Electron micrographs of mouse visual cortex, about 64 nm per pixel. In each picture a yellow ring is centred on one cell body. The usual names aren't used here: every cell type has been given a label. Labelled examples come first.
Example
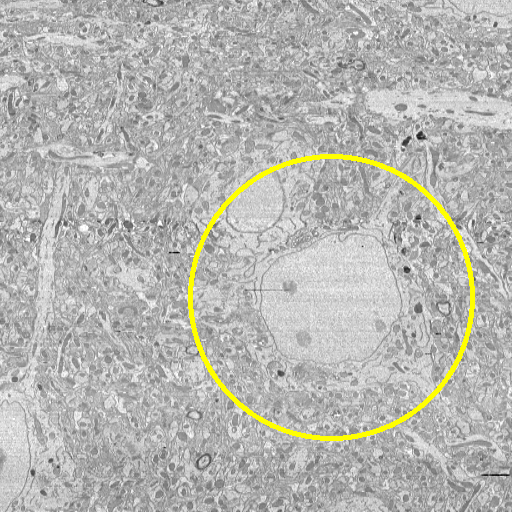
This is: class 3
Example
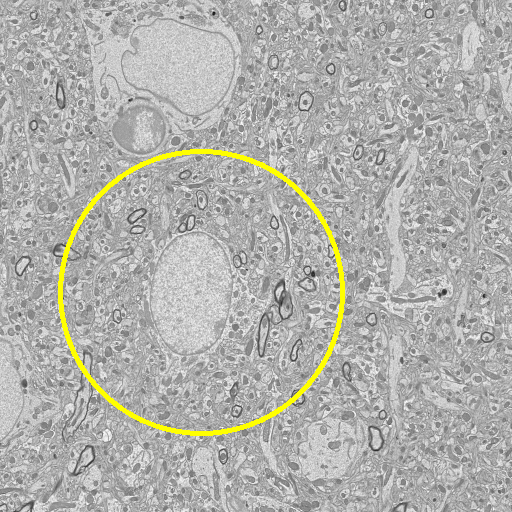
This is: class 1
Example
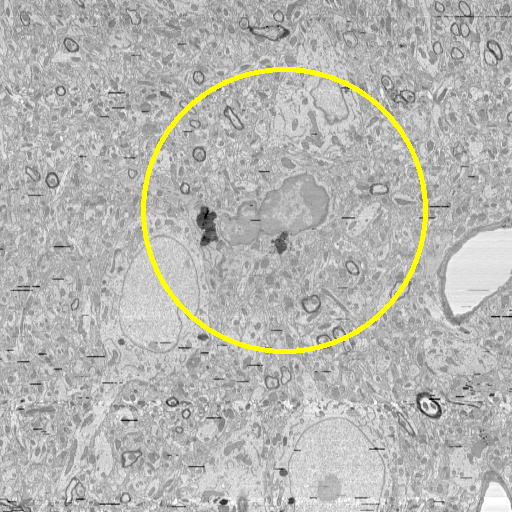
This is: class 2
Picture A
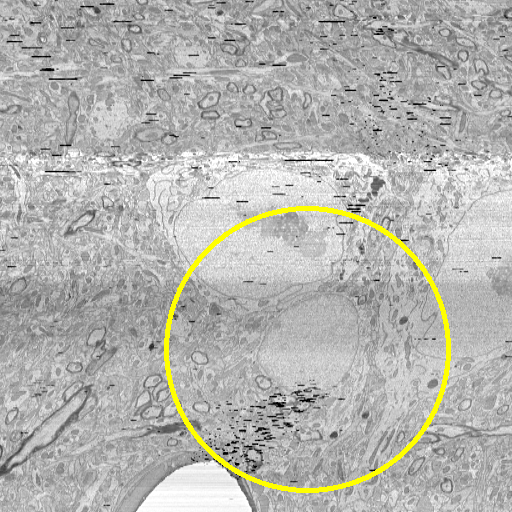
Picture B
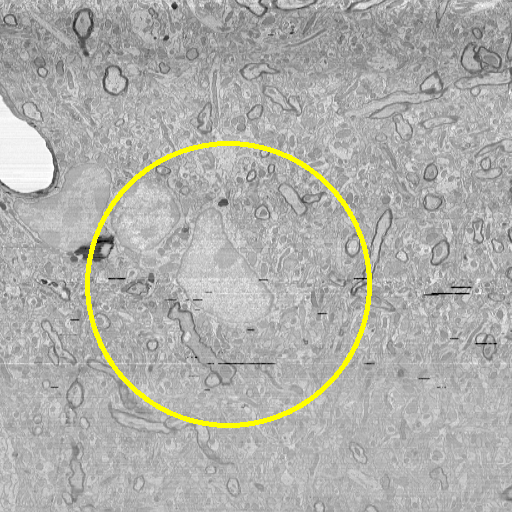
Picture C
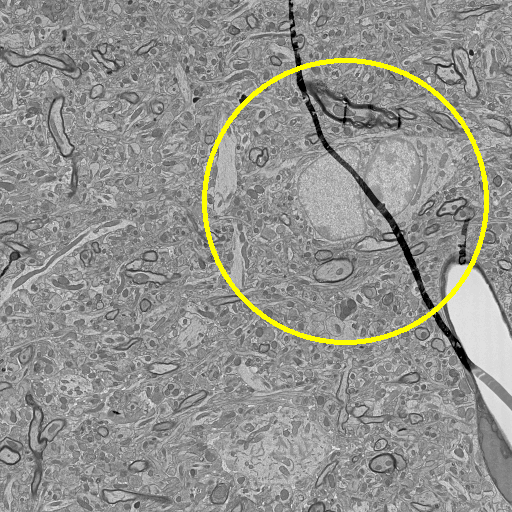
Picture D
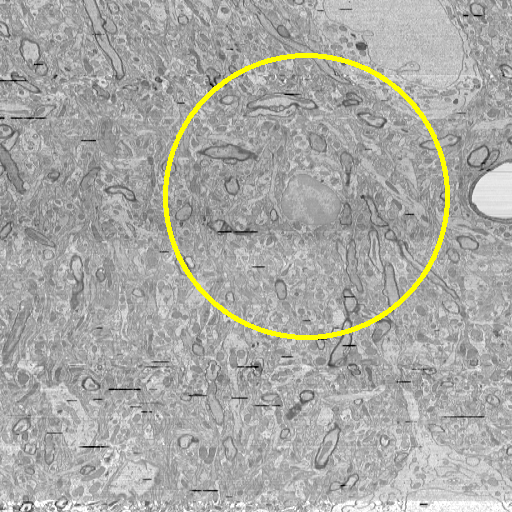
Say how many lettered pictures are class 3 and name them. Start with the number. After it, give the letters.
0, none of them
